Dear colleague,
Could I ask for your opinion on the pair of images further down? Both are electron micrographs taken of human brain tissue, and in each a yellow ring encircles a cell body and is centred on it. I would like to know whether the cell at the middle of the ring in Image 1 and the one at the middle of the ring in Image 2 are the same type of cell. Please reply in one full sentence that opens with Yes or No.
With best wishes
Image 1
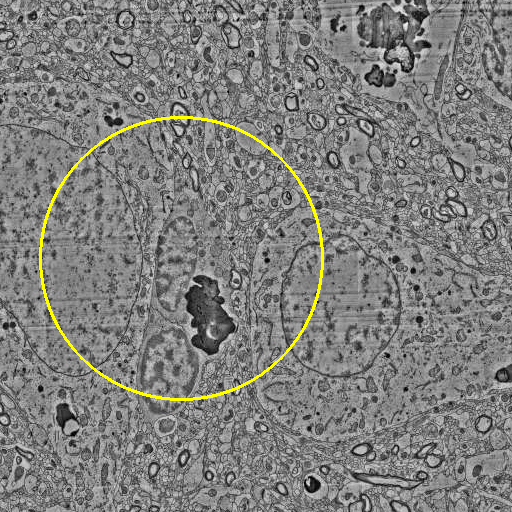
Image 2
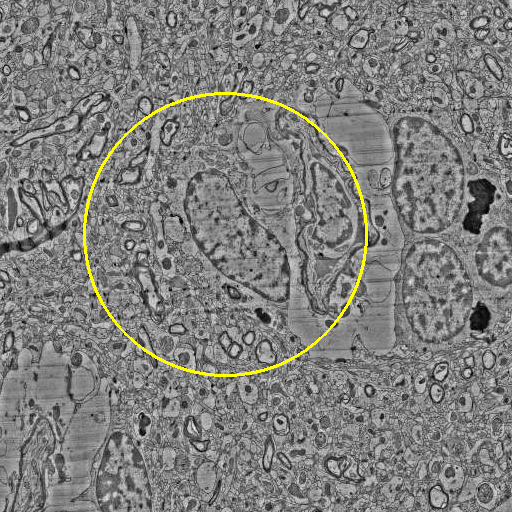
No, the cells at the ring centres in Image 1 and Image 2 are of two types.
